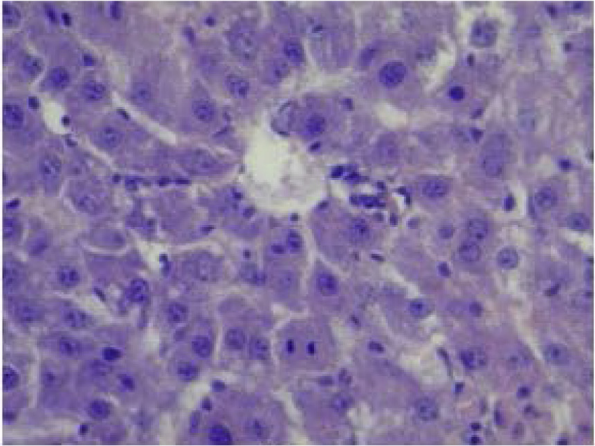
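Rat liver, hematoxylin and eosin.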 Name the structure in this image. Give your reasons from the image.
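A small irregular clear lumen in the middle of the field.
Answer: central vein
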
